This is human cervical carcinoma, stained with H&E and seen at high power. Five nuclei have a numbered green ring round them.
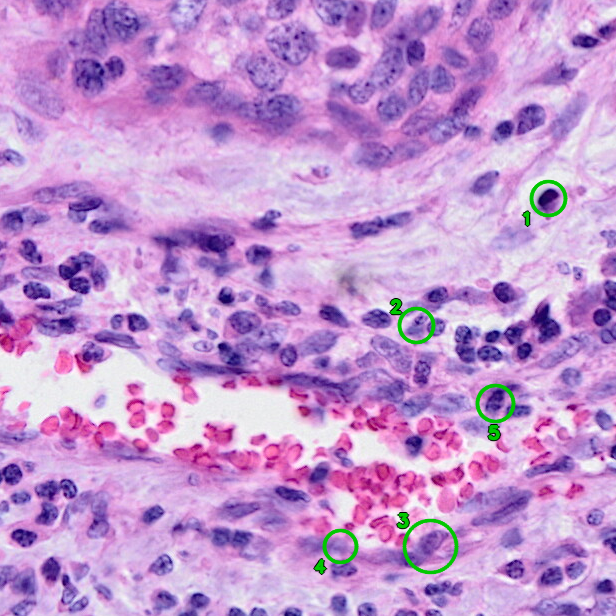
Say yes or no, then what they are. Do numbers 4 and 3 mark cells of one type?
Yes, both are endothelial cells.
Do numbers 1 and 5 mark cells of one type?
Yes, both are lymphocytes.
